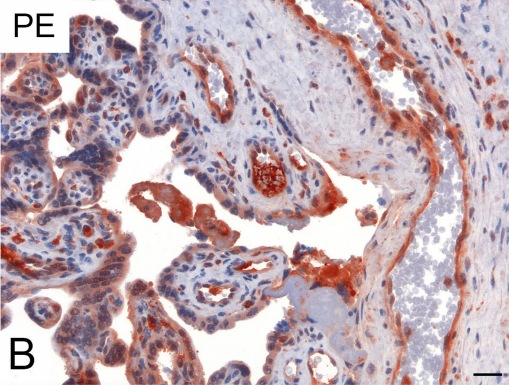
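Placental tissue is seen here, with several villi on the left and a thick-walled structure of dense fibrous tissue running along the right, next to a space full of red blood cells. The villi are covered by a layer of cells with crowded dark nuclei, and one villus holds a vessel filled with strongly red material.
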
